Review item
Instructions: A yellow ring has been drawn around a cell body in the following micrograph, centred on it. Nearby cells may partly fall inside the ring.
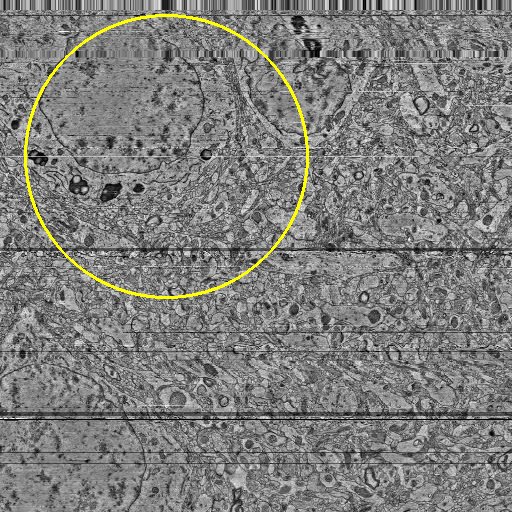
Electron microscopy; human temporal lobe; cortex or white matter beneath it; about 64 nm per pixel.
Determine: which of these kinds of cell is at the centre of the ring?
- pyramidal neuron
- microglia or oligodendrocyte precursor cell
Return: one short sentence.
The cell body in the middle of the ring is that of a pyramidal neuron.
